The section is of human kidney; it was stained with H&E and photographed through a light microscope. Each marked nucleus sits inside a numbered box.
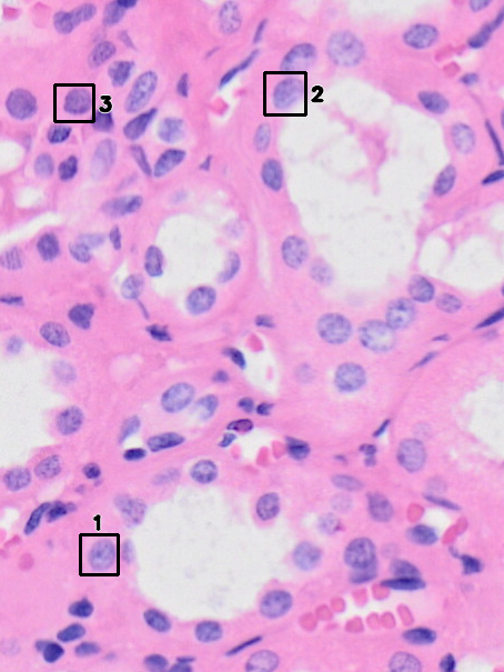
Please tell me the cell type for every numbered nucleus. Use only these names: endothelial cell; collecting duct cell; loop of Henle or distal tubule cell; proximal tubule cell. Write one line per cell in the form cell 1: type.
cell 1: loop of Henle or distal tubule cell
cell 2: loop of Henle or distal tubule cell
cell 3: collecting duct cell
